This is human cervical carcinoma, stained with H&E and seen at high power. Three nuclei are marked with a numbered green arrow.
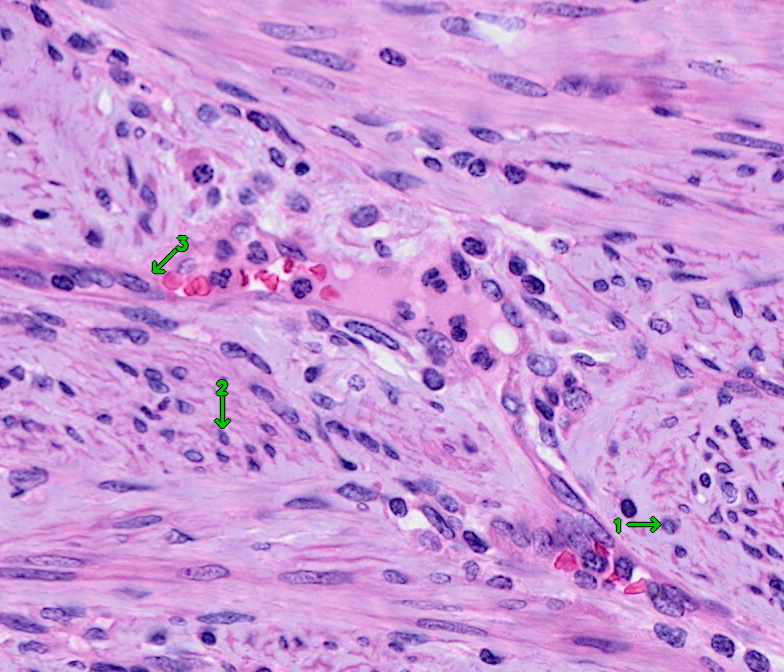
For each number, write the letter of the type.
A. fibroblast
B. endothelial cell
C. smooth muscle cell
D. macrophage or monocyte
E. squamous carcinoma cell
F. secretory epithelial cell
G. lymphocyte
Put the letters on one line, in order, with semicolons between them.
C; C; B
